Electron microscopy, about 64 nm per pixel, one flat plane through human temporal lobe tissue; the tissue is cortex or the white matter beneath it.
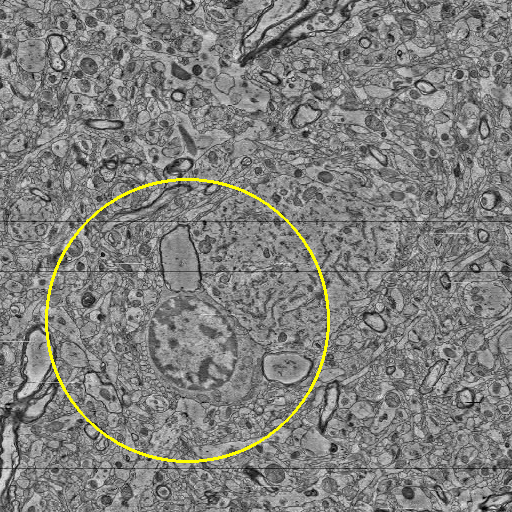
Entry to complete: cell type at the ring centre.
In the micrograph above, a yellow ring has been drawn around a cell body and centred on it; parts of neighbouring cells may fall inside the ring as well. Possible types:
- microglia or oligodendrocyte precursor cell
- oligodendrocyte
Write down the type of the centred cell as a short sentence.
The ring is centred on an oligodendrocyte.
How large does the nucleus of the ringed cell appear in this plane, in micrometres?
In this plane, the nucleus of the cell at the centre of the ring is about 6 micrometres across.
